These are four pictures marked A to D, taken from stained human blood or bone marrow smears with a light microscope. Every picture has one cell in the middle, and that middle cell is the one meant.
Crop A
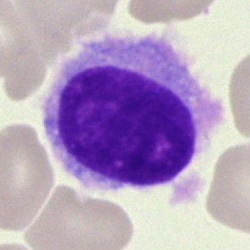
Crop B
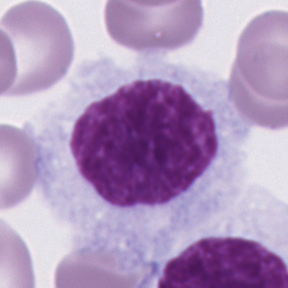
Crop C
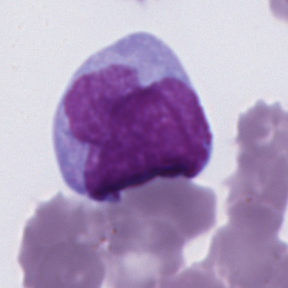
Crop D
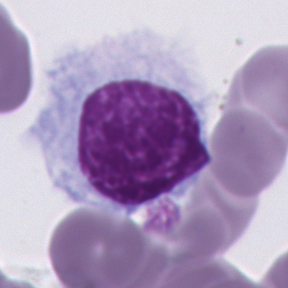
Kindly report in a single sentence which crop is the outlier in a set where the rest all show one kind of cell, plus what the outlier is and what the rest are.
Crop C stands apart as a blast, whereas the remaining crops all show hairy cells.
